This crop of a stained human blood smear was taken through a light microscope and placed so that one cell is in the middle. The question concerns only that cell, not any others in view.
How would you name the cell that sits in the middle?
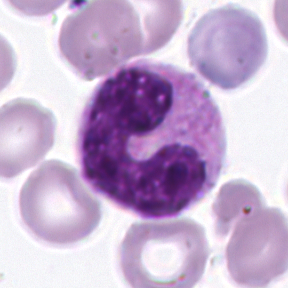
band neutrophil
